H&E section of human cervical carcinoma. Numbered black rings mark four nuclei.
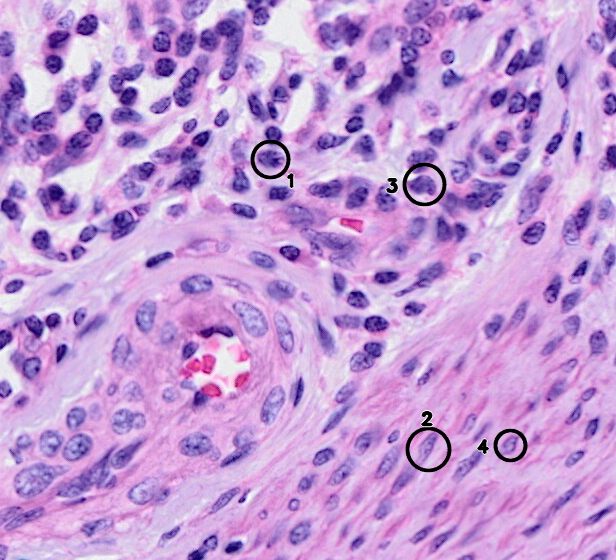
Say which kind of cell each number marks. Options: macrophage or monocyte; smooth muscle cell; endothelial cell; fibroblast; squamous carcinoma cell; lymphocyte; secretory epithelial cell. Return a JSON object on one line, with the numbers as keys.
{"1": "lymphocyte", "2": "smooth muscle cell", "3": "lymphocyte", "4": "smooth muscle cell"}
